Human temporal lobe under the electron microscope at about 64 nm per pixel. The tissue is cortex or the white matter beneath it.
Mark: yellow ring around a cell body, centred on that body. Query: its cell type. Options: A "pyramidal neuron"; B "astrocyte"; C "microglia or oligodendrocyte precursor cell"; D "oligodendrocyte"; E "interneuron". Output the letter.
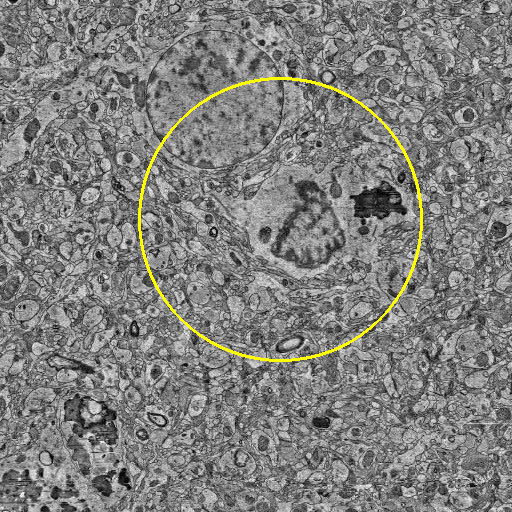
B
